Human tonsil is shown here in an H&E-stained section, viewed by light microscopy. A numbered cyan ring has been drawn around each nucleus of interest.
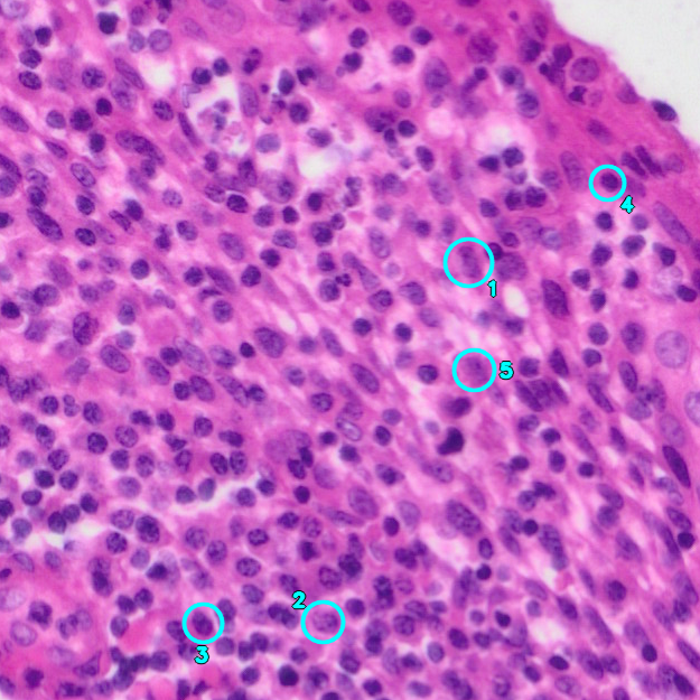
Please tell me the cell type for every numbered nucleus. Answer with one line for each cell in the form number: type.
1: squamous epithelial cell
2: plasma cell
3: plasma cell
4: squamous epithelial cell
5: squamous epithelial cell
